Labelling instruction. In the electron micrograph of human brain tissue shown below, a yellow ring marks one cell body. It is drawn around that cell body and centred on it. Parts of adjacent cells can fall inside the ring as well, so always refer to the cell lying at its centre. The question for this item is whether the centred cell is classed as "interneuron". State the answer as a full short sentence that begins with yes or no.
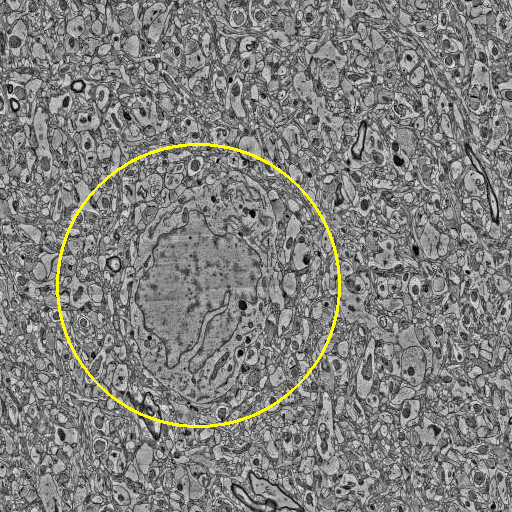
Yes, the centred cell is of that class.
